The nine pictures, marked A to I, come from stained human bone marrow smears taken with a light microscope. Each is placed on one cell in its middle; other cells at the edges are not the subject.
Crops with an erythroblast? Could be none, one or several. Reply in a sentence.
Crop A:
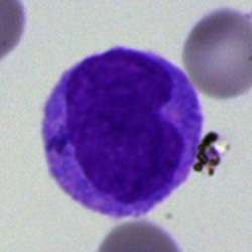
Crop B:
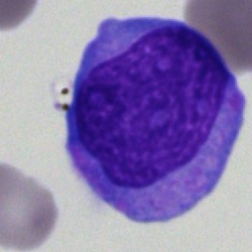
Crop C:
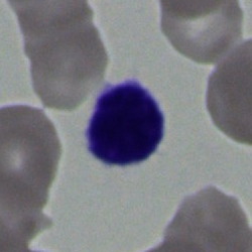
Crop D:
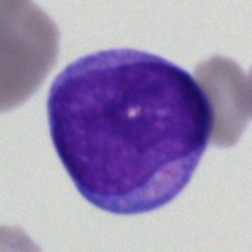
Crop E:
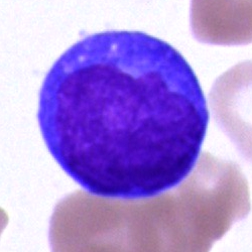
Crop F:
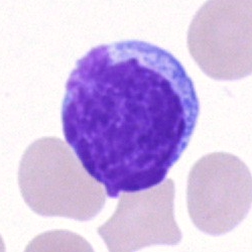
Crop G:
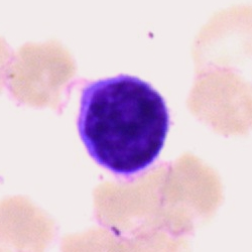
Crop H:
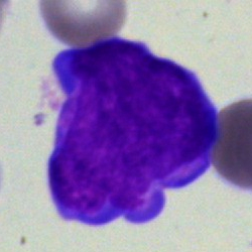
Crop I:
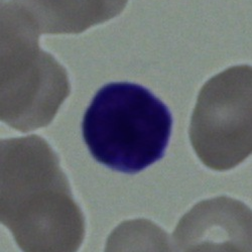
No central cell in the series of crops is an erythroblast.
